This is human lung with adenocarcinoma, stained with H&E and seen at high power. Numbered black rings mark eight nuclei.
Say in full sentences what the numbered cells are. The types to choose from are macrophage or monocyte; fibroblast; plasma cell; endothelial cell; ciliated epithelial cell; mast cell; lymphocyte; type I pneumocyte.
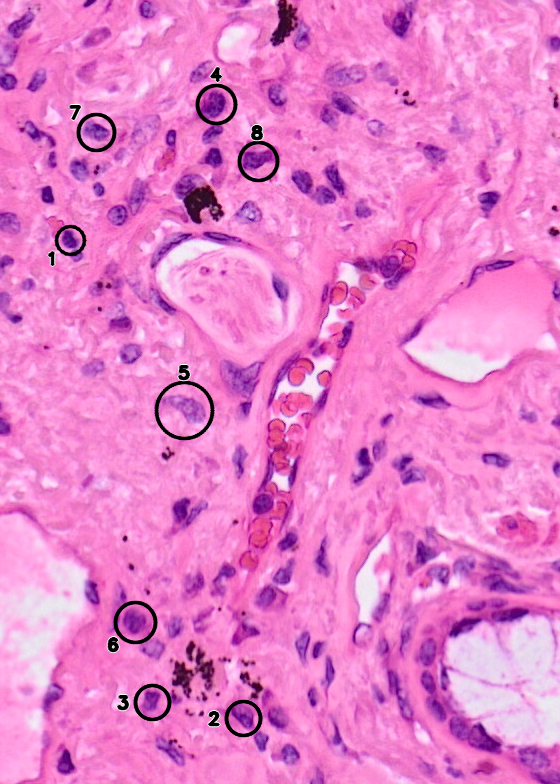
Cell 1 is a lymphocyte, cell 2 is a plasma cell, cell 3 is a plasma cell, cell 4 is a plasma cell, cell 5 is a fibroblast, cell 6 is a plasma cell, cell 7 is a lymphocyte and cell 8 is a plasma cell.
